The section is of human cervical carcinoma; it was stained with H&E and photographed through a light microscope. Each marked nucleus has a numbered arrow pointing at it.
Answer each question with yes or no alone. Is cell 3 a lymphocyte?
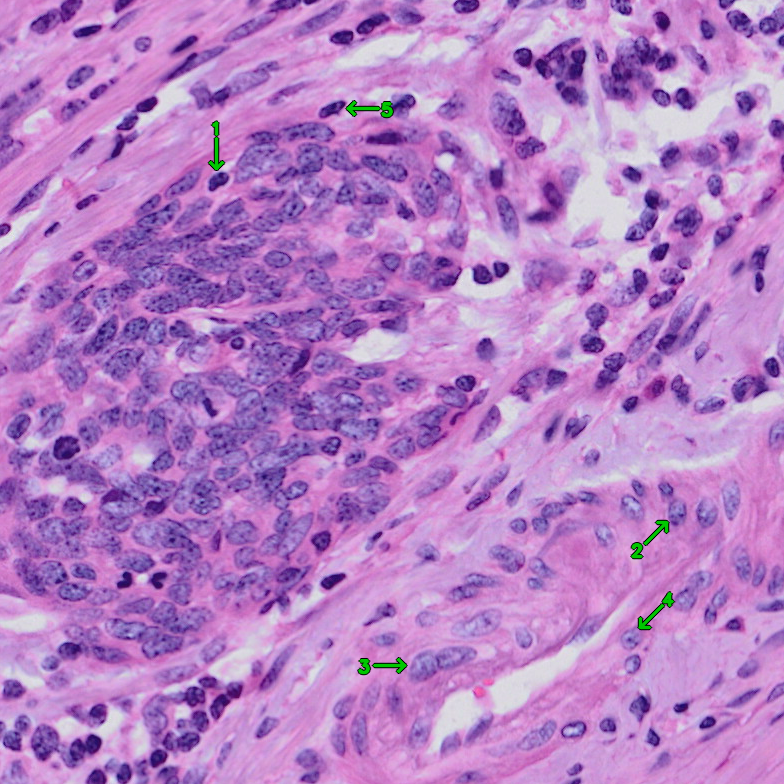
no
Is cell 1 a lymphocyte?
yes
